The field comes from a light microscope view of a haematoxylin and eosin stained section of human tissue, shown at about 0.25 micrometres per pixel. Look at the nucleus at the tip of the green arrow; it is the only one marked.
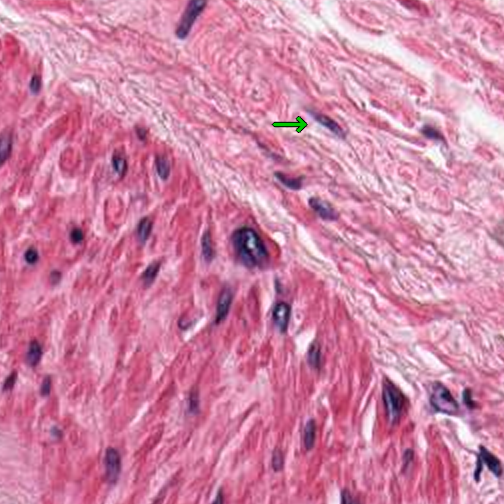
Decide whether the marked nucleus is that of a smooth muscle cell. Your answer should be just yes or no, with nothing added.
no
